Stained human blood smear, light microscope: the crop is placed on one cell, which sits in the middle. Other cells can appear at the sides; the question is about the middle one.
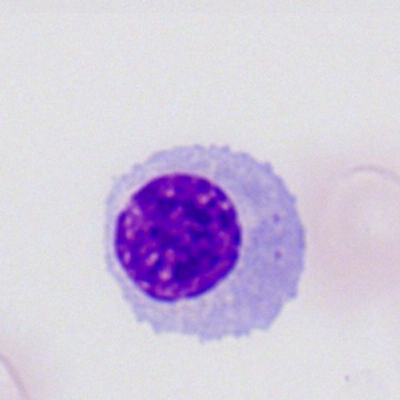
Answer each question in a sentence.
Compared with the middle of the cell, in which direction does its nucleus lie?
The nucleus lies toward the left of the cell.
